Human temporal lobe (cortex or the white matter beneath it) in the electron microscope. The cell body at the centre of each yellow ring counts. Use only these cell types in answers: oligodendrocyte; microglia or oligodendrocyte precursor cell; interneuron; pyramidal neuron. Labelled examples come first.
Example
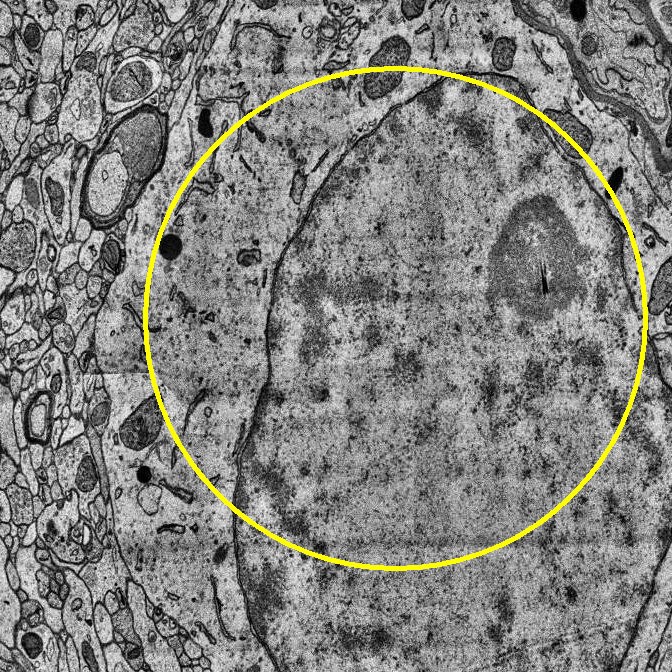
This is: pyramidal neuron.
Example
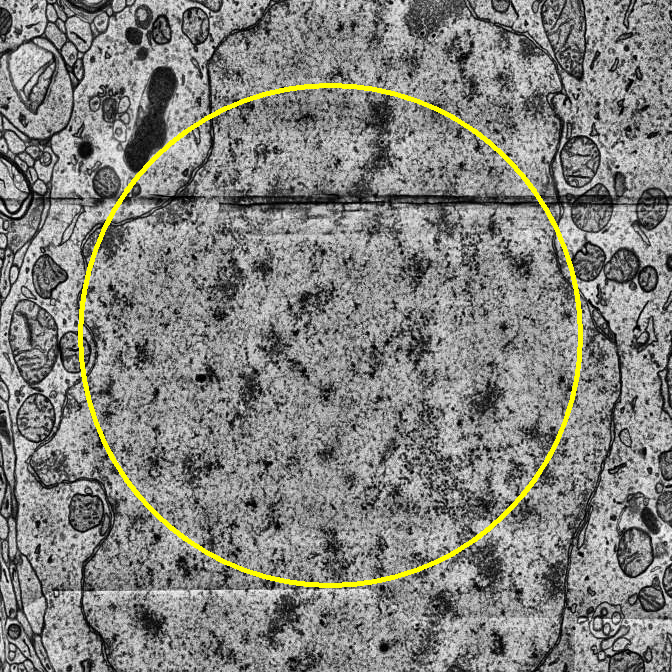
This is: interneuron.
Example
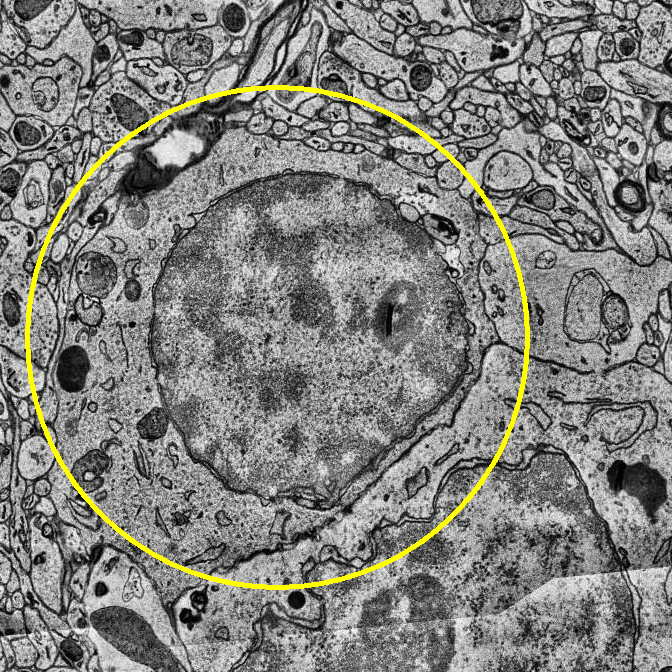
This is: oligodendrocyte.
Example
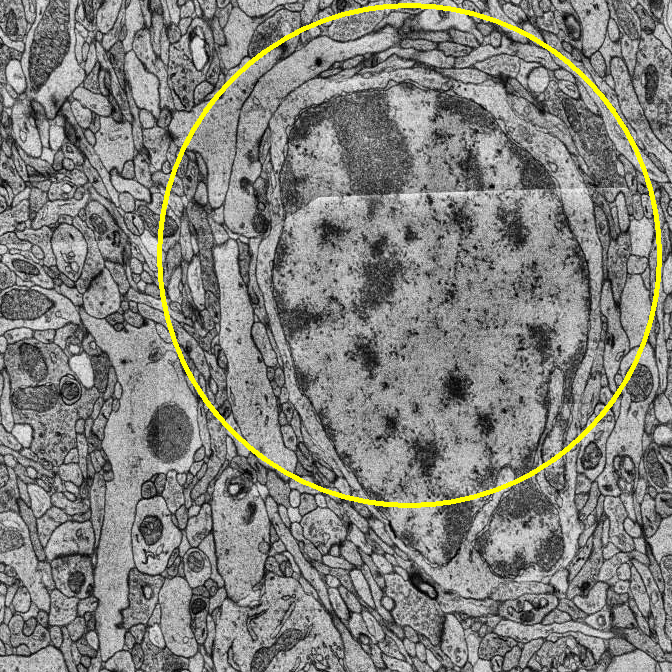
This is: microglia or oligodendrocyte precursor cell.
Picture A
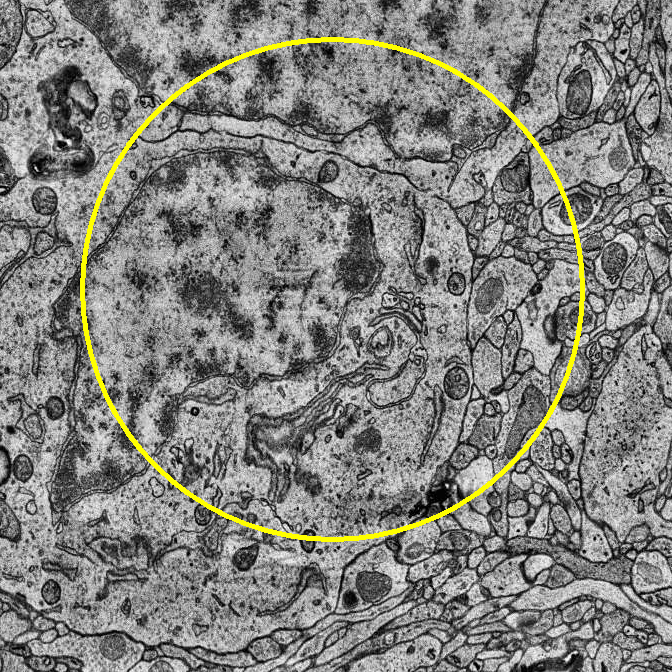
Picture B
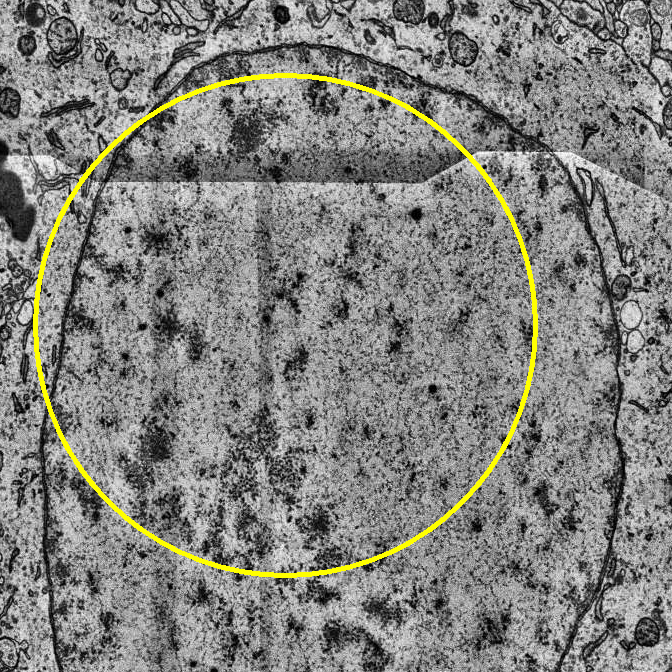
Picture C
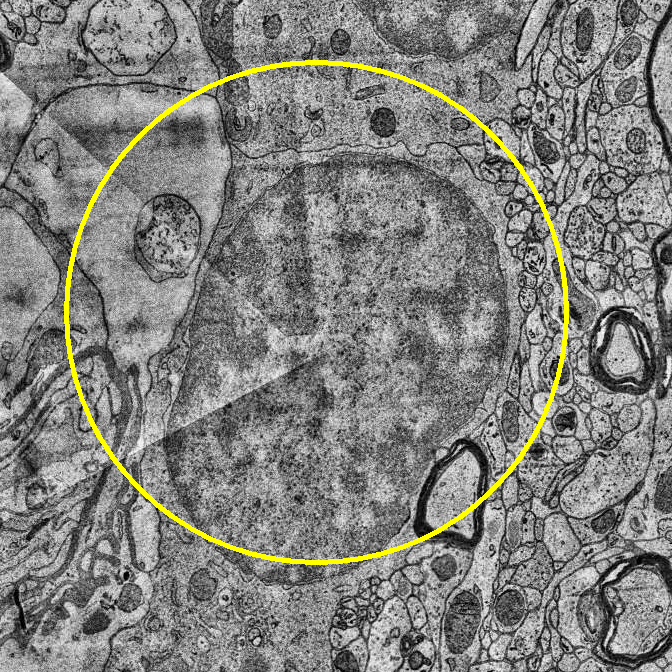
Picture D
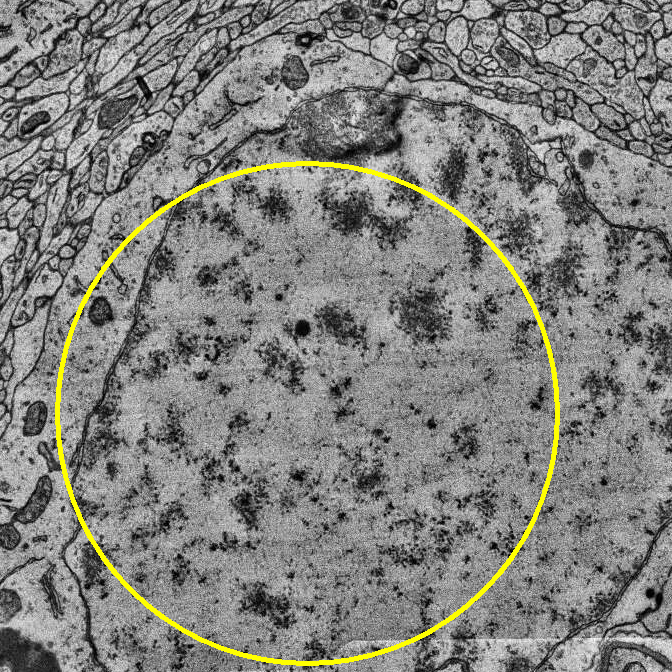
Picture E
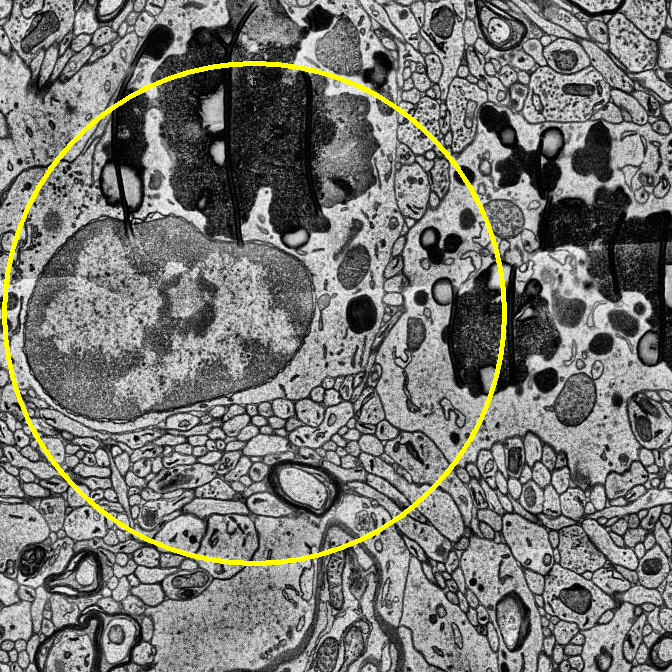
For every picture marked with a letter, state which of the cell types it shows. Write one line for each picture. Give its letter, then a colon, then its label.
A: interneuron.
B: pyramidal neuron.
C: oligodendrocyte.
D: interneuron.
E: microglia or oligodendrocyte precursor cell.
